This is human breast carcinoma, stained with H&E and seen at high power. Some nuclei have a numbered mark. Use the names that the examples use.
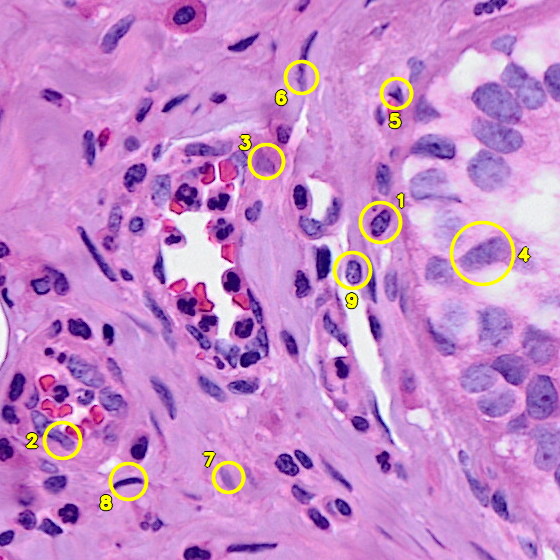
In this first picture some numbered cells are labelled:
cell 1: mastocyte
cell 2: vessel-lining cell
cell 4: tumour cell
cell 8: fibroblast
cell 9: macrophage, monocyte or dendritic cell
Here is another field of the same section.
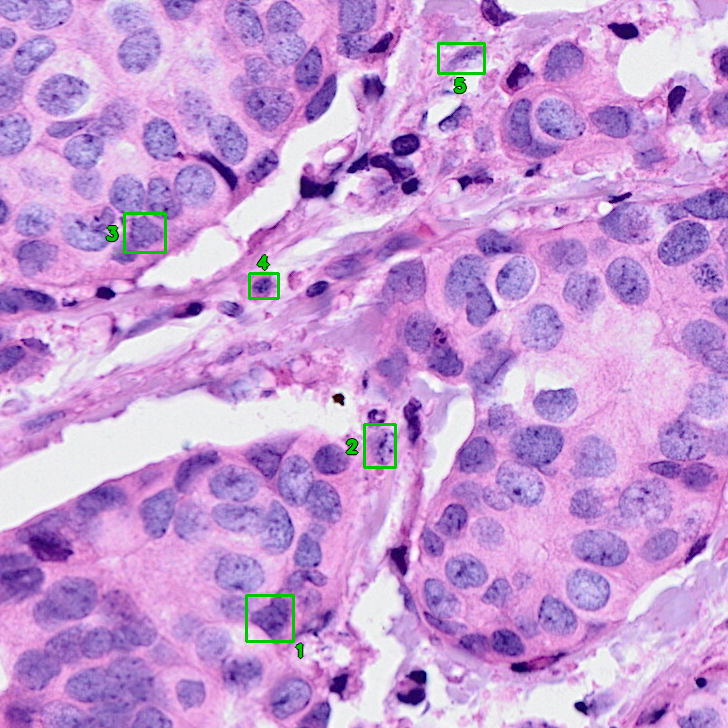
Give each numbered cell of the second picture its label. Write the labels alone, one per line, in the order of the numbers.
tumour cell
macrophage, monocyte or dendritic cell
tumour cell
mastocyte
fibroblast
